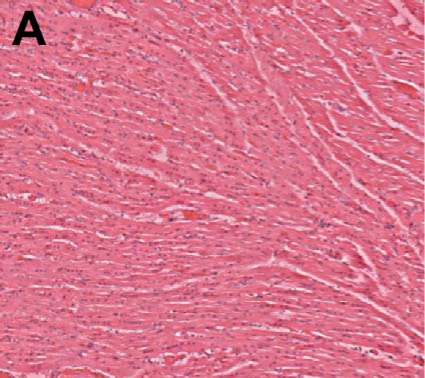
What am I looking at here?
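Heart muscle is seen at low magnification, made of elongated pink muscle fibres running in parallel, gently curving bundles across the whole field. The cytoplasm of the fibres is evenly eosinophilic. Small elongated dark nuclei lie within the fibres, oriented along their long axis. Narrow pale clefts separate the fibres and bundles from one another. No dense clusters of inflammatory cells are evident at this magnification.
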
